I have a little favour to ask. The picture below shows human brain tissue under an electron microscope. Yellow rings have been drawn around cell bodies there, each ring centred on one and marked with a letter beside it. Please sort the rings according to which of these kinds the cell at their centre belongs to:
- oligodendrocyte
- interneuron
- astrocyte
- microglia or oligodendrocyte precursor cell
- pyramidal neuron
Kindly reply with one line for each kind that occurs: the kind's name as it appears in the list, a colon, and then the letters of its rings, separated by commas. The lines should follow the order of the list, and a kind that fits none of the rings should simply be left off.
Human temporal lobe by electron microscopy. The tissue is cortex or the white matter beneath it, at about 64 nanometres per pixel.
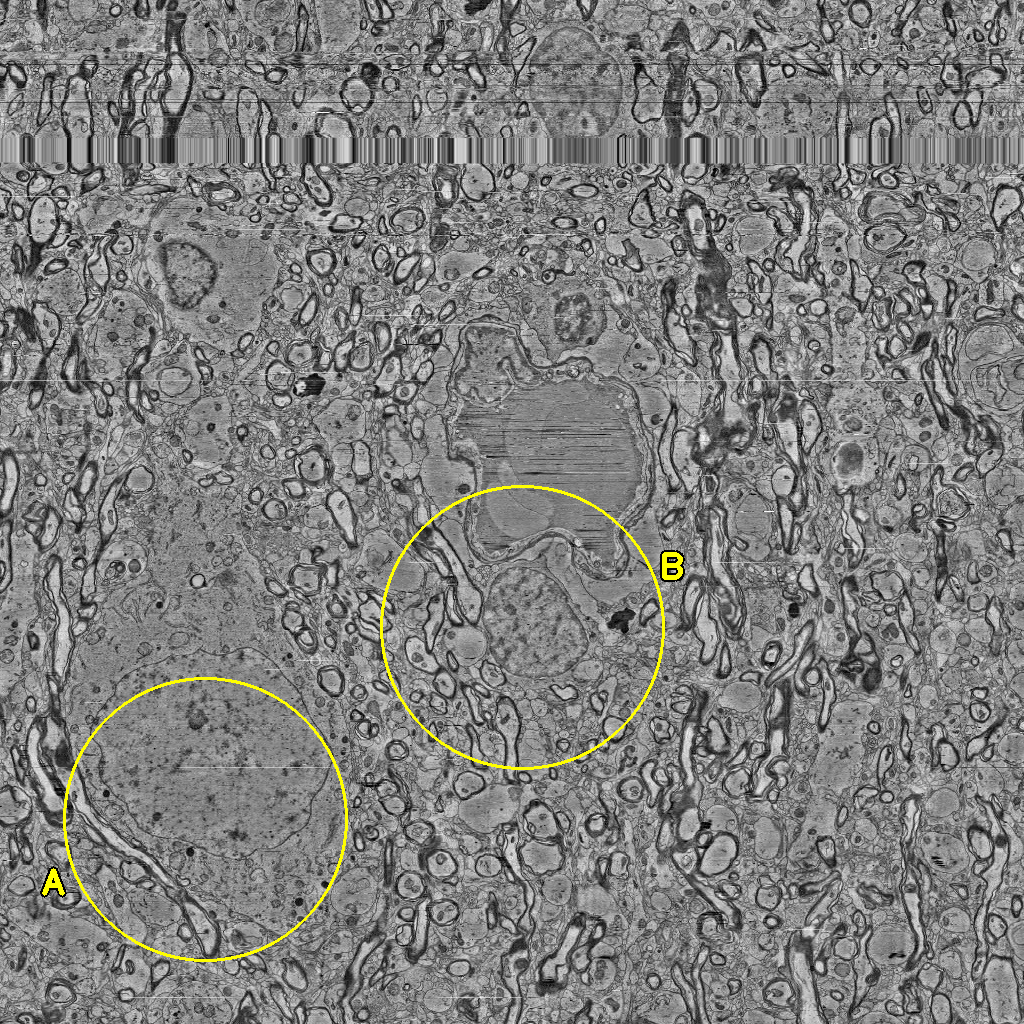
oligodendrocyte: B
pyramidal neuron: A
